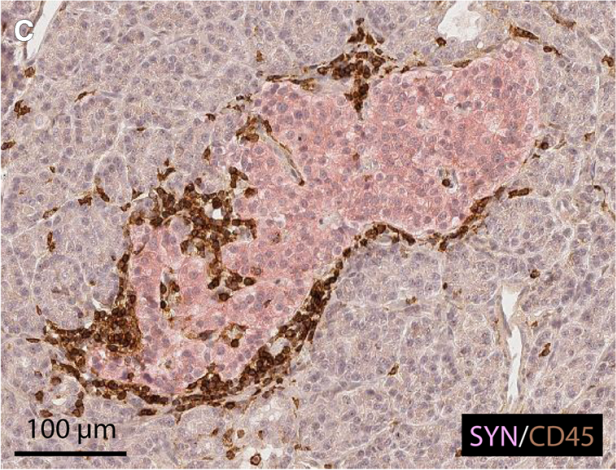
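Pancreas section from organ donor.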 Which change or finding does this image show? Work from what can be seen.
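A pale pink islet lies among the surrounding exocrine tissue. Dense clusters of small brown-stained cells line the islet's border.
Answer: peri-insulitis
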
